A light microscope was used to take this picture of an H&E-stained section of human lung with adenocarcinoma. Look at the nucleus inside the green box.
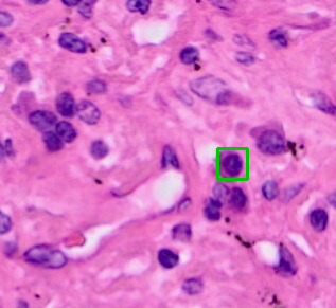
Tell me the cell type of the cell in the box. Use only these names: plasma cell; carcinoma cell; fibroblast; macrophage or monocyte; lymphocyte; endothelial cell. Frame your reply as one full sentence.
Cytologically, the cell in the box is to be regarded as a plasma cell.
